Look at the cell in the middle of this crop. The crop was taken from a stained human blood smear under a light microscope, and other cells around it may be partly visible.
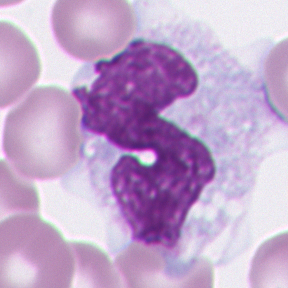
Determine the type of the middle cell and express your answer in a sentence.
Where the crop is centred, there is a monocyte.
